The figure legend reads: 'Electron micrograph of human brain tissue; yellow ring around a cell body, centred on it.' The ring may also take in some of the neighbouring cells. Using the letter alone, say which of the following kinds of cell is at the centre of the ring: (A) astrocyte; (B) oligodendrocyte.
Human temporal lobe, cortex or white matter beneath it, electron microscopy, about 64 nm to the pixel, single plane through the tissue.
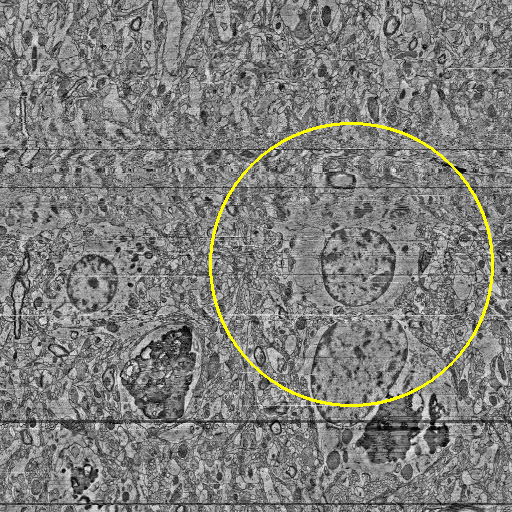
A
